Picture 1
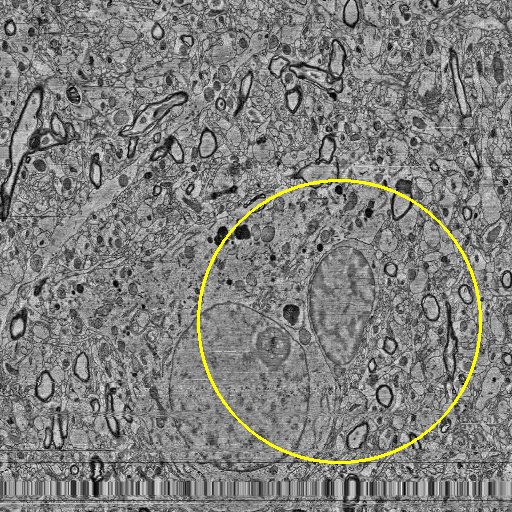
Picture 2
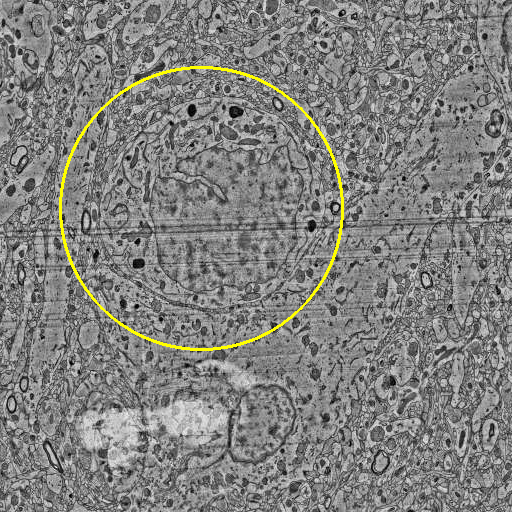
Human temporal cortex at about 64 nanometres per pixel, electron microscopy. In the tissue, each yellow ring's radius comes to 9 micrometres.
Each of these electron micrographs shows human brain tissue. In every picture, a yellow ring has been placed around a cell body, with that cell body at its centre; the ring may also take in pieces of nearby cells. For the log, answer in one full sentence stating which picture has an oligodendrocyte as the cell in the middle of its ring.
In picture 1, the cell at the centre of the yellow ring is the requested one.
